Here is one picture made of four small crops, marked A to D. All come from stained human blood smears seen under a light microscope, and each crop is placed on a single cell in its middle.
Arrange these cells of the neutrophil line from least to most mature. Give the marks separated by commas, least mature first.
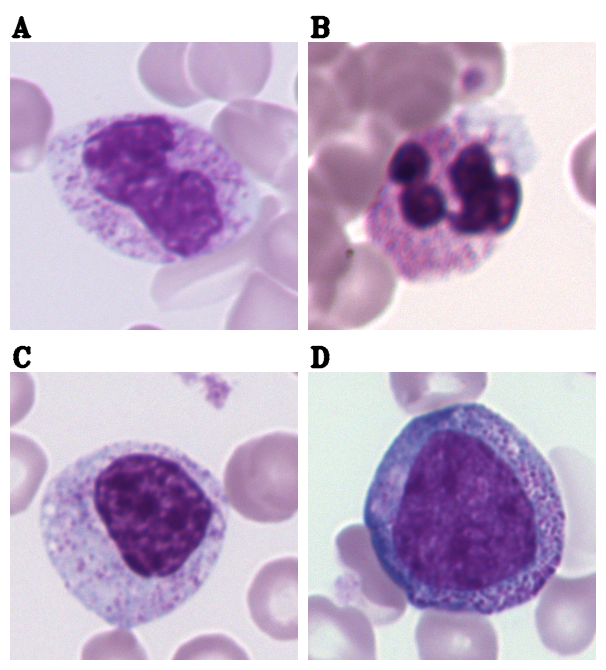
D, C, A, B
